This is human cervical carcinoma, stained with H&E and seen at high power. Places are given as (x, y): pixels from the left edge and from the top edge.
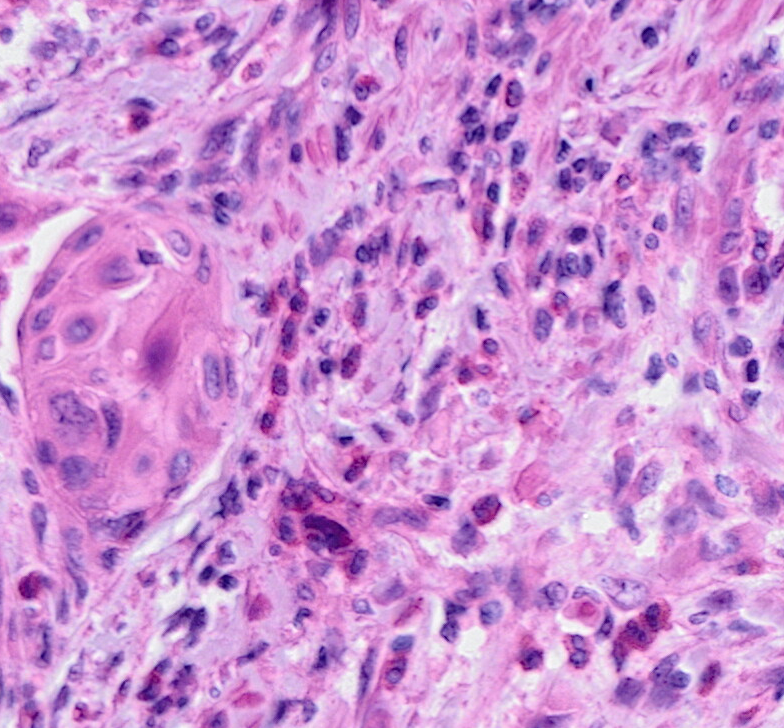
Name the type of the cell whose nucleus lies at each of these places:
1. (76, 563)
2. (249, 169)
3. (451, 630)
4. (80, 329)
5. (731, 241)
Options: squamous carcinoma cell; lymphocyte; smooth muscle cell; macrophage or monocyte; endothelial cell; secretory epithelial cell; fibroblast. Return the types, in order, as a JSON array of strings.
["endothelial cell", "endothelial cell", "lymphocyte", "squamous carcinoma cell", "endothelial cell"]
